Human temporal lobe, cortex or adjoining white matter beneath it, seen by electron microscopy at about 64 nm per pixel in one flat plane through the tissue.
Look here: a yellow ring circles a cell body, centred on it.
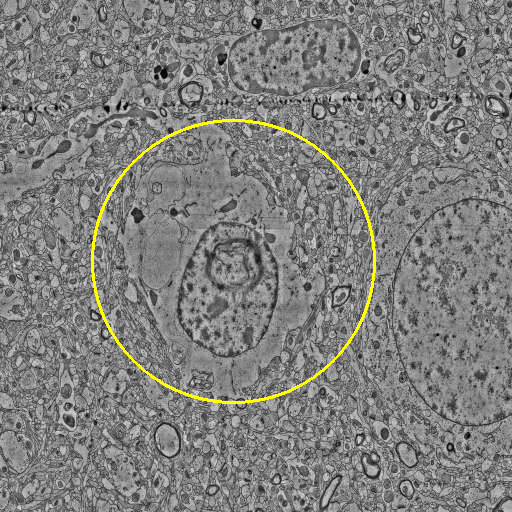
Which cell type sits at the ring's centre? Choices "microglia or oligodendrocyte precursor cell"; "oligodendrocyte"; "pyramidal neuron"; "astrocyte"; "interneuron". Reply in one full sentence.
The cell at the centre of the yellow ring in the picture is an astrocyte.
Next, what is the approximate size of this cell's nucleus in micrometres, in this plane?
The nucleus of the ringed cell is approximately 9 by 6 micrometres in this plane.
